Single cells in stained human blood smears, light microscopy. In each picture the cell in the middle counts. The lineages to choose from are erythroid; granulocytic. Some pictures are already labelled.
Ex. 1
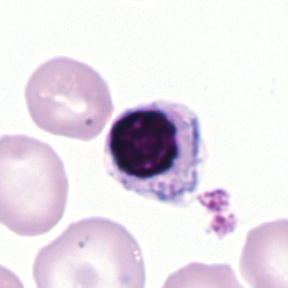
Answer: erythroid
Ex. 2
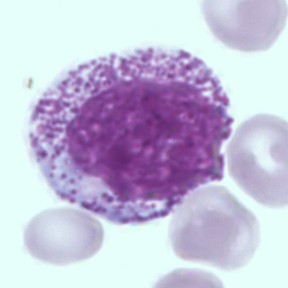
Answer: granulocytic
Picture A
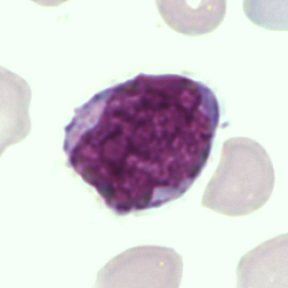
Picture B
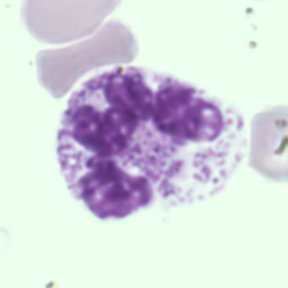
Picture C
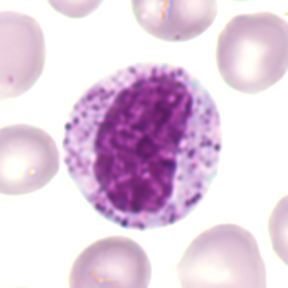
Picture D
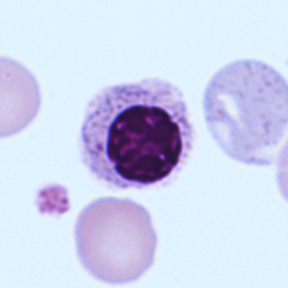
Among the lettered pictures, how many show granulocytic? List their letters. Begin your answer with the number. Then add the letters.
3, namely A, B, C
